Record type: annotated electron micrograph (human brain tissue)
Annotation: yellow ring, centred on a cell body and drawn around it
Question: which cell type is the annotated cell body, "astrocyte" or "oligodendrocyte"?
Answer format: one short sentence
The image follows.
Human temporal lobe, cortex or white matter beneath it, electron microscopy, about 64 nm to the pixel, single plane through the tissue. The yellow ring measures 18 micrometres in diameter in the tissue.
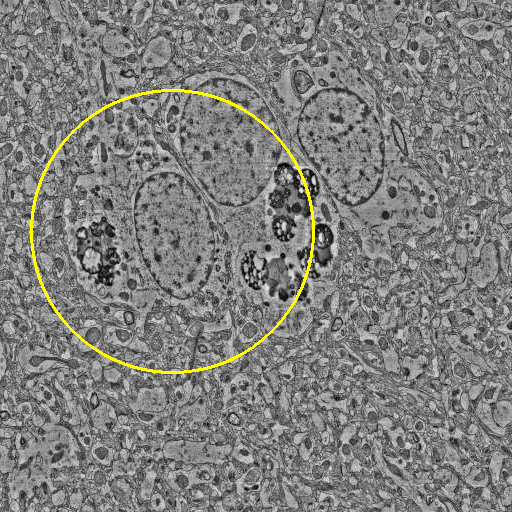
The annotated cell body is that of an astrocyte.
